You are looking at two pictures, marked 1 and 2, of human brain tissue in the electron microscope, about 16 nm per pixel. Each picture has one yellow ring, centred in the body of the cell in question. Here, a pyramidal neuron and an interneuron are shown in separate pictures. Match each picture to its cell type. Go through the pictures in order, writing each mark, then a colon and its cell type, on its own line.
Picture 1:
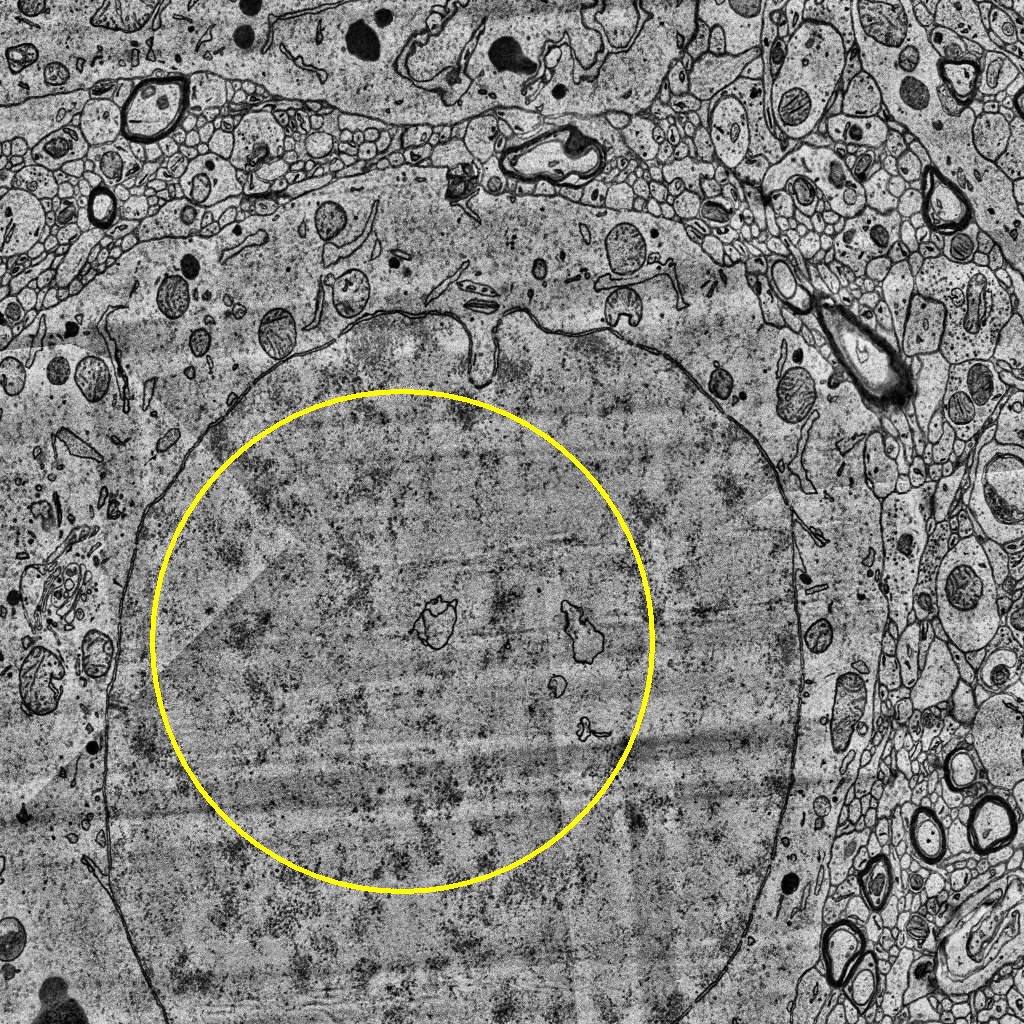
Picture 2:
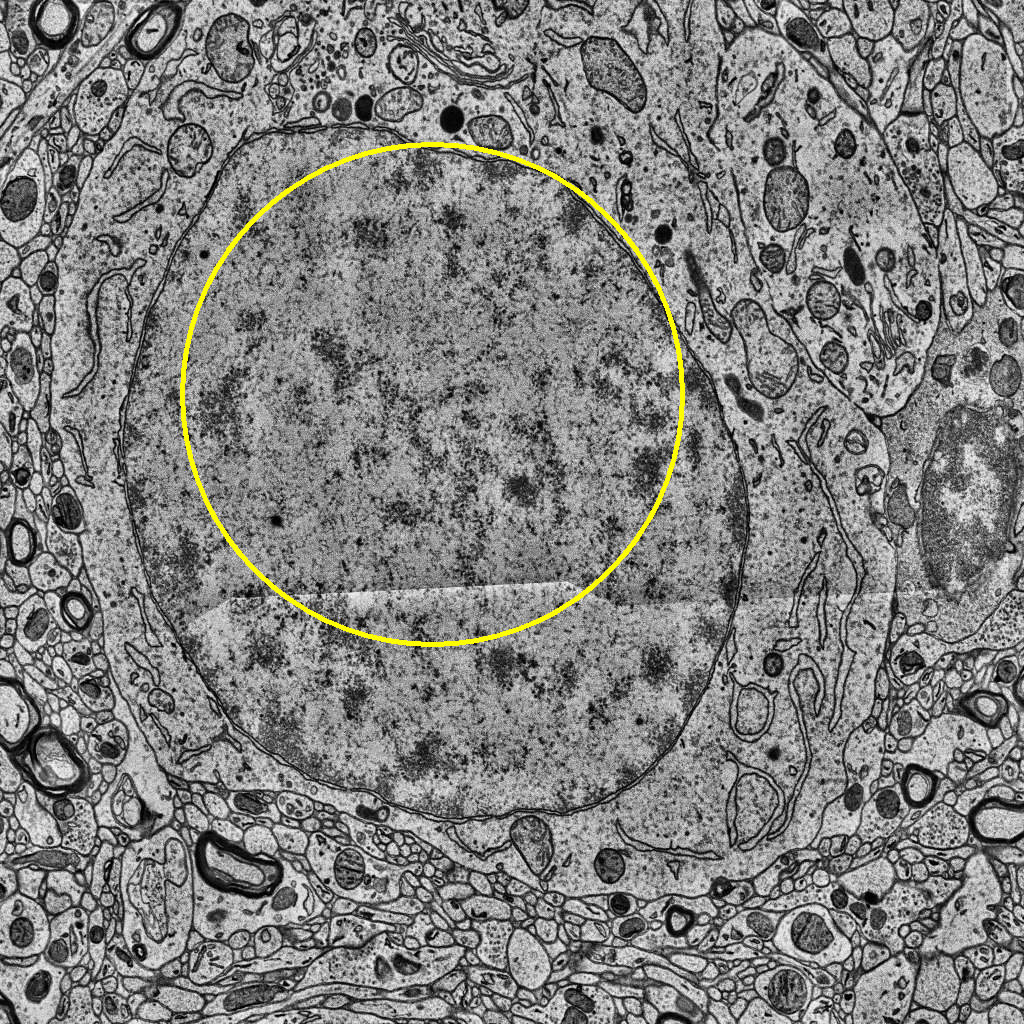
1: pyramidal neuron
2: interneuron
